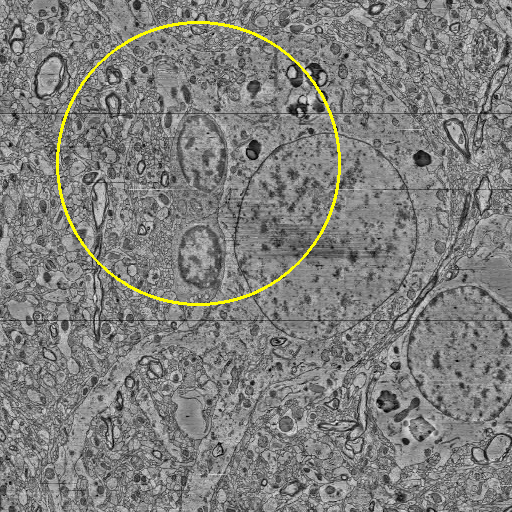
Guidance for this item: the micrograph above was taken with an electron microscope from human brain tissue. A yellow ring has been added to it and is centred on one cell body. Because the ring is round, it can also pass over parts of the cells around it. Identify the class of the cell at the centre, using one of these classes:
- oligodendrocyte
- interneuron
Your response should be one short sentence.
The ring surrounds the body of an oligodendrocyte.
